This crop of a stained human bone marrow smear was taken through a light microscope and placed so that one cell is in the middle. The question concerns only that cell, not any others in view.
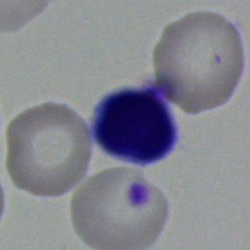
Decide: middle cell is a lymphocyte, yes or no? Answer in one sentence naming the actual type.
Yes, the centre of the crop holds a lymphocyte.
